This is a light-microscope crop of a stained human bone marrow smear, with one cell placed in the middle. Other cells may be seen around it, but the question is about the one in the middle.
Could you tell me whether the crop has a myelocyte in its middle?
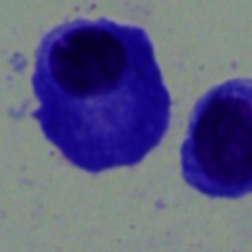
no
